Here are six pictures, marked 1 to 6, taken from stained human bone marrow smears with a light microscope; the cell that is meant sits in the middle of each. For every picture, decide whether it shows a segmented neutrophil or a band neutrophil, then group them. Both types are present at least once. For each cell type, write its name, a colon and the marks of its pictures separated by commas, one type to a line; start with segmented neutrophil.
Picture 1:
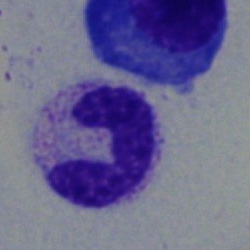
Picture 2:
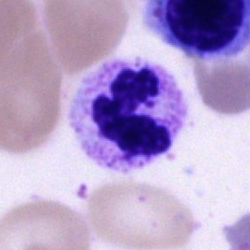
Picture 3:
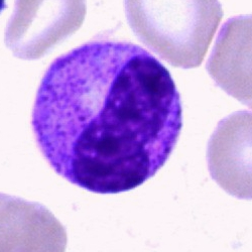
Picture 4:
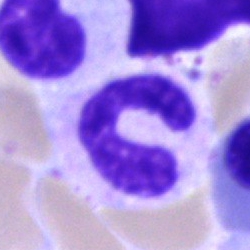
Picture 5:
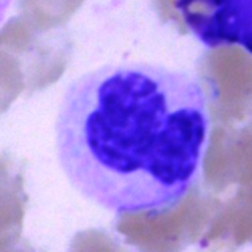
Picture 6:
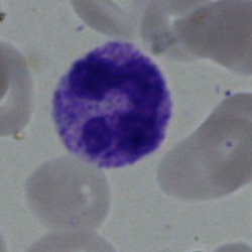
segmented neutrophil: 2, 5, 6
band neutrophil: 1, 3, 4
